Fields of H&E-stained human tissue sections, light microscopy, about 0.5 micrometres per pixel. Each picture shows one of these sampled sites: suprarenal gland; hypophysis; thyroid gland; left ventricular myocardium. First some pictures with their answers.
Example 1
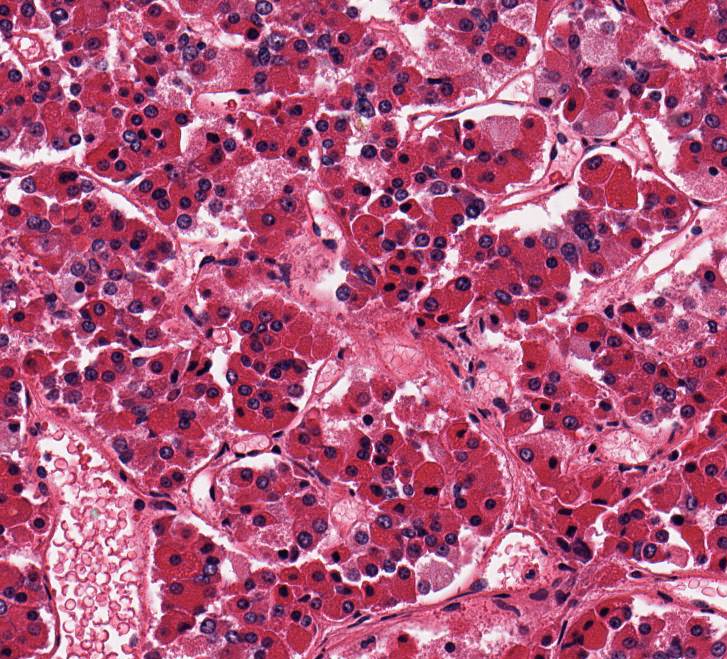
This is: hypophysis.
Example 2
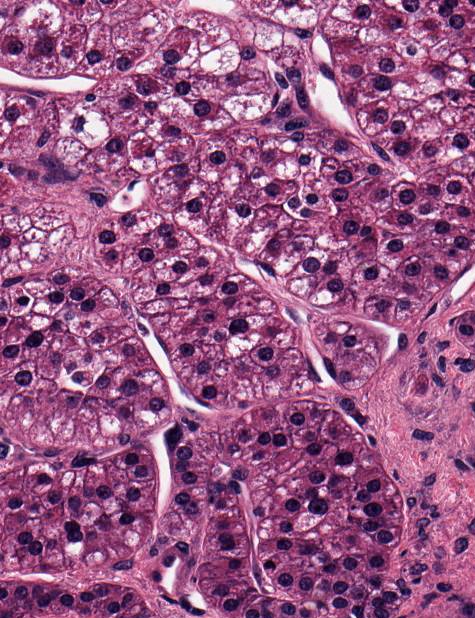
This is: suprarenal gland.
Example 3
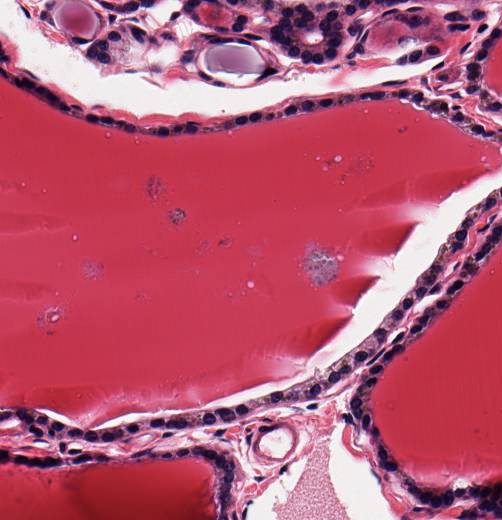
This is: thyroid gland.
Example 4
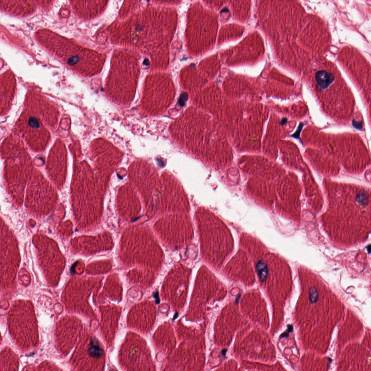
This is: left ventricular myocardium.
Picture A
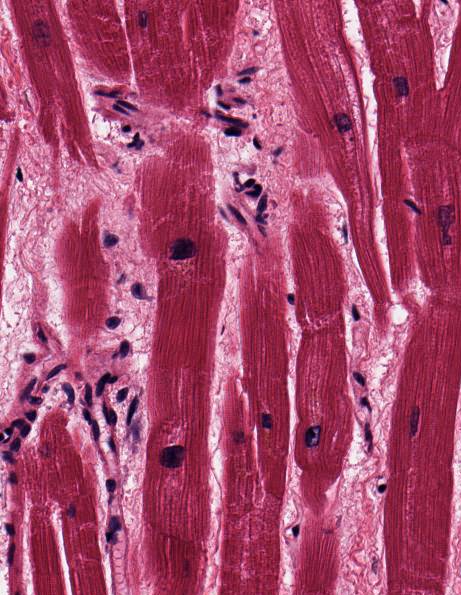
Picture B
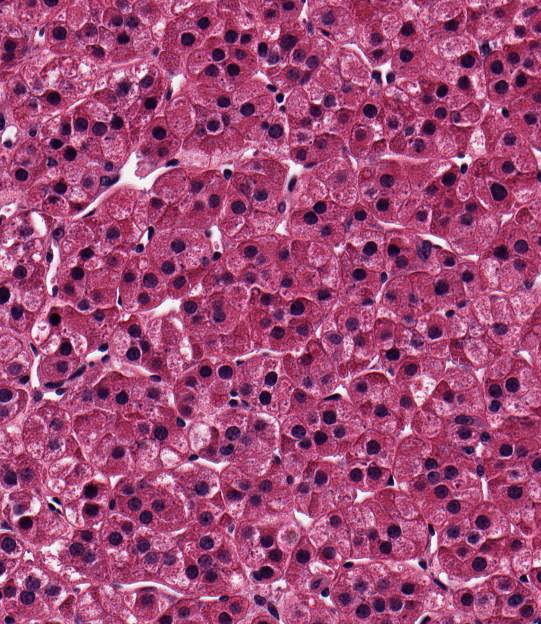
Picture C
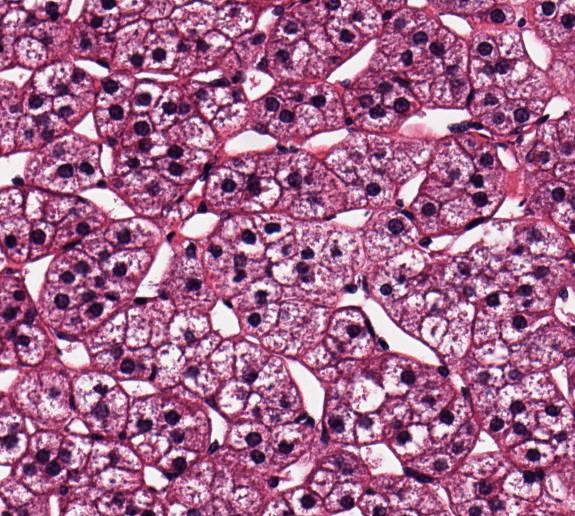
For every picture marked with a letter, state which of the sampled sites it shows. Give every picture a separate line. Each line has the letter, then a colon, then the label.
A: left ventricular myocardium.
B: suprarenal gland.
C: suprarenal gland.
